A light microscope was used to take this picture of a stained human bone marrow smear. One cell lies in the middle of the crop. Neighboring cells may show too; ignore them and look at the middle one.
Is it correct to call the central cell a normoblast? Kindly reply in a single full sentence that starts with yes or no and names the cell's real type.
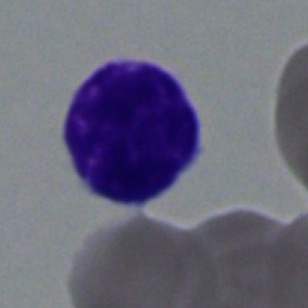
No, the central cell is designated a lymphocyte and not a normoblast.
